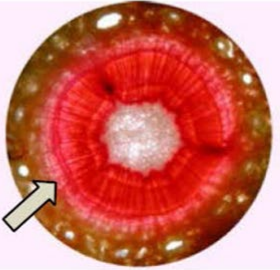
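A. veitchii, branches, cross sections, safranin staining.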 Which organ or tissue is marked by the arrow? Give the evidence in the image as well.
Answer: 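Newly formed xylems. The arrow points to the outermost band of the wood, next to the bark. This band is paler pink than the deeper red wood.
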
